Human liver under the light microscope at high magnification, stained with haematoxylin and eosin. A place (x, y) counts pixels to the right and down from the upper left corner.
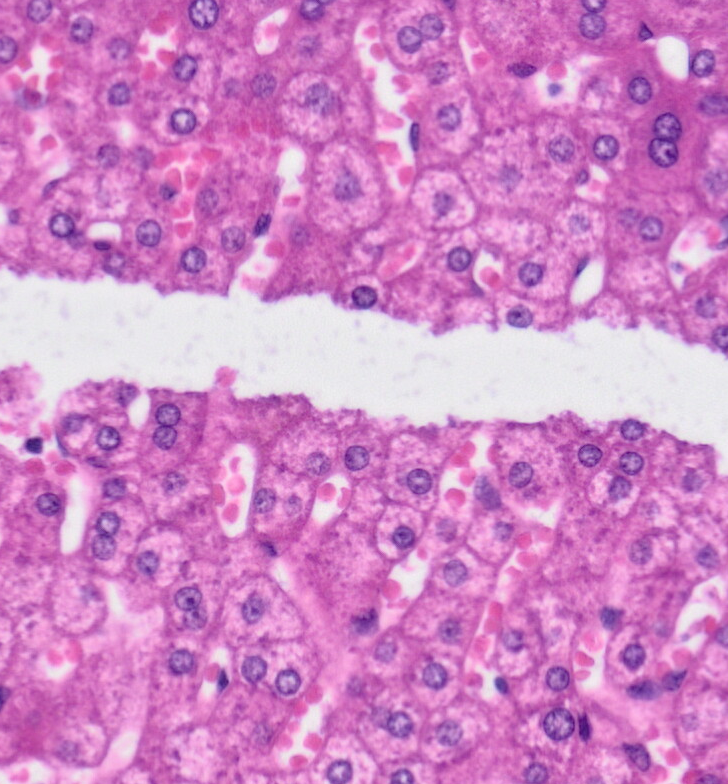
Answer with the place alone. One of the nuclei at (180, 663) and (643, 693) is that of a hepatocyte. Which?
(180, 663)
